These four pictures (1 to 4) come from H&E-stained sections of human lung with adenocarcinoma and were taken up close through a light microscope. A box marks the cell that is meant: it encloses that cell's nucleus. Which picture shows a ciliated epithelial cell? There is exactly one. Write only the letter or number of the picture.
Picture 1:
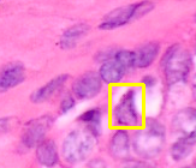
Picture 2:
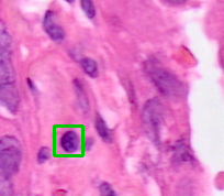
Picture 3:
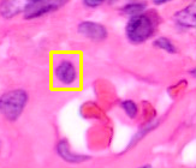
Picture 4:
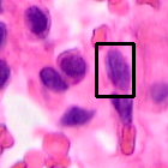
1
